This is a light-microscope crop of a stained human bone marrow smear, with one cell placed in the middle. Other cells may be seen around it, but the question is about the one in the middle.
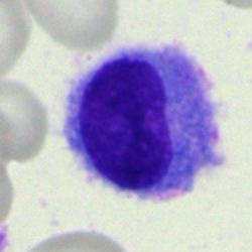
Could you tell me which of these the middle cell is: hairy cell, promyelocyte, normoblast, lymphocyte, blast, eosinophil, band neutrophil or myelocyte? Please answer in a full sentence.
The cell in the exact centre of the crop is a hairy cell.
